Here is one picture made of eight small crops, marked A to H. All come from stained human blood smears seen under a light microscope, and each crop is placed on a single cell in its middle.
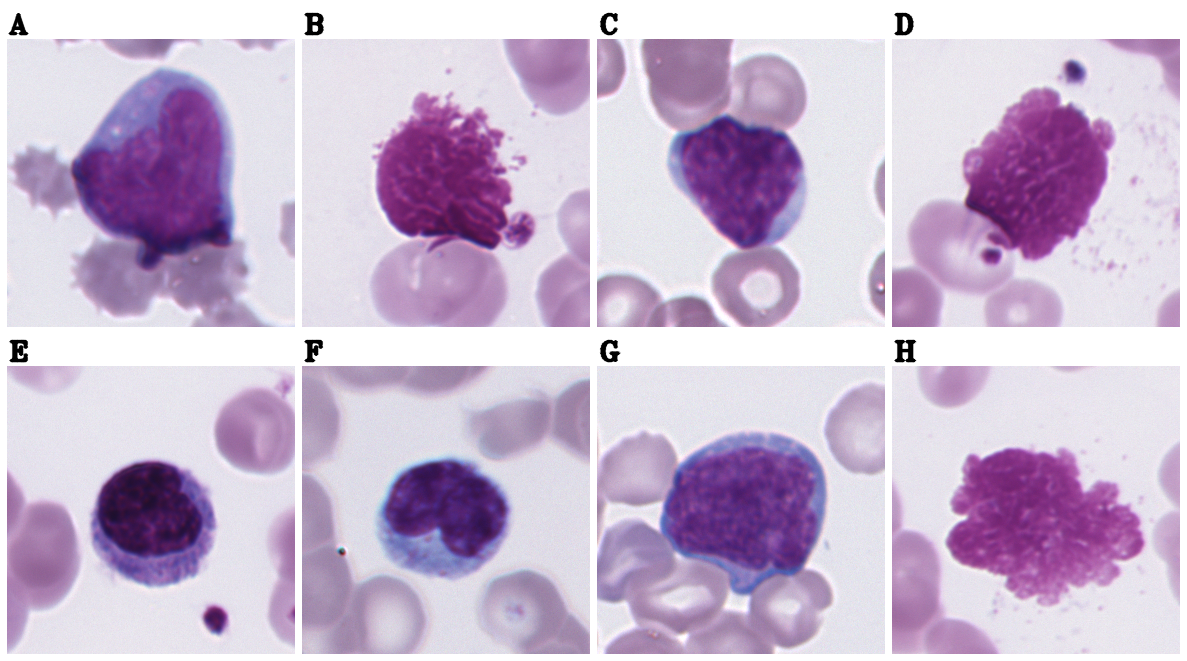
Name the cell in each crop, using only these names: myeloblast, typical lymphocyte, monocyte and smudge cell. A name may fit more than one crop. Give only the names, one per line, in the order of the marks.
myeloblast
smudge cell
typical lymphocyte
smudge cell
monocyte
typical lymphocyte
myeloblast
smudge cell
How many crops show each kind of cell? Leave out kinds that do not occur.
smudge cell: 3
myeloblast: 2
typical lymphocyte: 2
monocyte: 1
